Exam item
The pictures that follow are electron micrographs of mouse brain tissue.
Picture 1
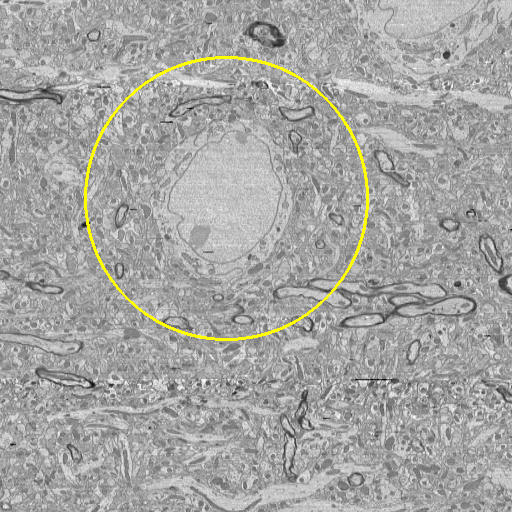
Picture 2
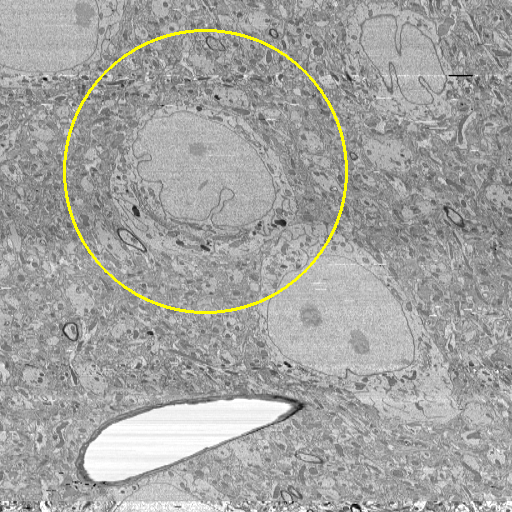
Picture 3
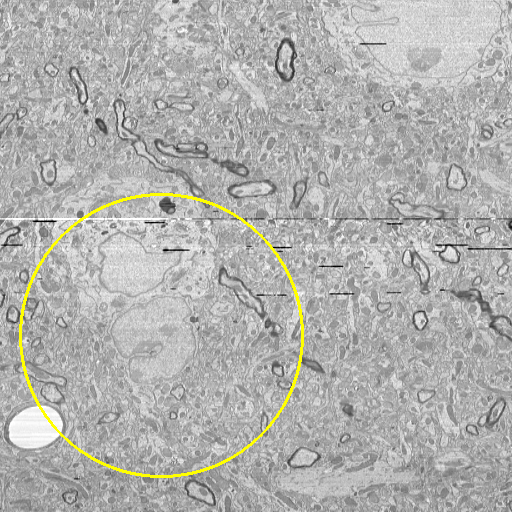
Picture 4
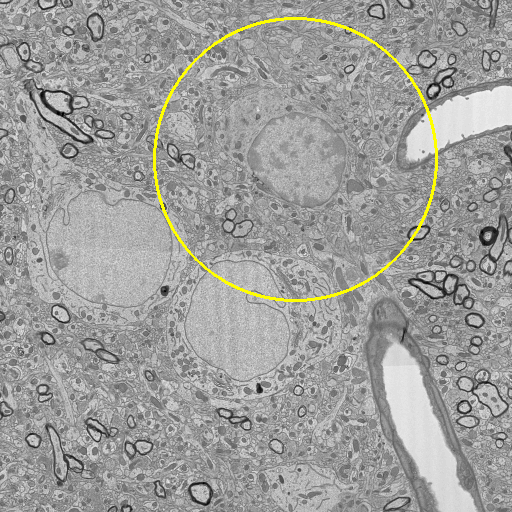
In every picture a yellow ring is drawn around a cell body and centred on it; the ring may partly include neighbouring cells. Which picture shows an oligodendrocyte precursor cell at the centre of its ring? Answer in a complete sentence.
The cell at the centre of the ring in Picture 3 is the one asked for.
